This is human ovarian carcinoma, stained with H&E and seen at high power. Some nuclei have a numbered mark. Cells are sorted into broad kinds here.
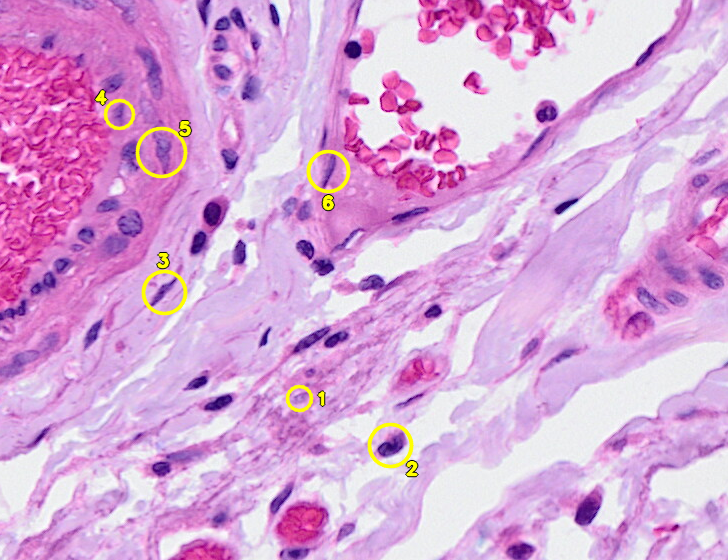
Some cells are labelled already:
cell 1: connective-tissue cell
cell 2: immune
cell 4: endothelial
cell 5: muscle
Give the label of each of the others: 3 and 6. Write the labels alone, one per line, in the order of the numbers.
connective-tissue cell
endothelial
